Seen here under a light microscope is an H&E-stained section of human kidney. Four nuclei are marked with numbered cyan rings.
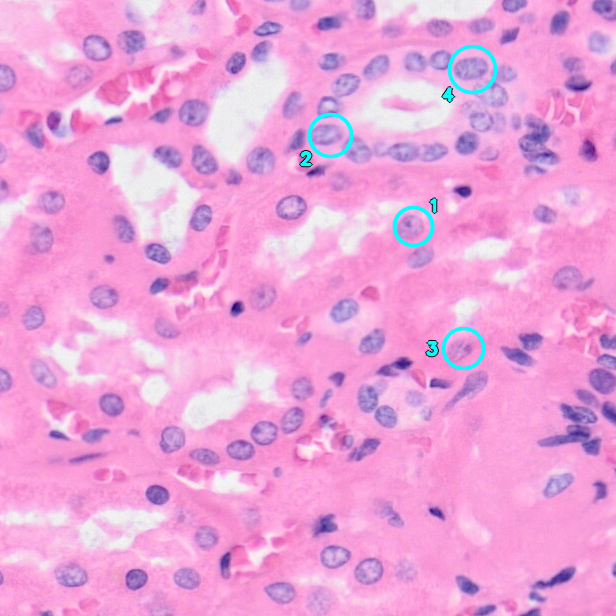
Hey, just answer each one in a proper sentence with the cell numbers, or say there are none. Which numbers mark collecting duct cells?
The cells which carry the numbers 2 and 4 are collecting duct cells.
